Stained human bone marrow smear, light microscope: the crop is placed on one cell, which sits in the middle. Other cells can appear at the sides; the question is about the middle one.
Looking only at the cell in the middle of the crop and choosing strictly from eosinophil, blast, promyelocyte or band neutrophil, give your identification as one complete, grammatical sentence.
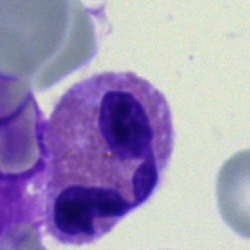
By type, the central cell of the crop is an eosinophil.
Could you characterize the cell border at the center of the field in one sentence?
Smooth all around, the outline has no projections to report.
